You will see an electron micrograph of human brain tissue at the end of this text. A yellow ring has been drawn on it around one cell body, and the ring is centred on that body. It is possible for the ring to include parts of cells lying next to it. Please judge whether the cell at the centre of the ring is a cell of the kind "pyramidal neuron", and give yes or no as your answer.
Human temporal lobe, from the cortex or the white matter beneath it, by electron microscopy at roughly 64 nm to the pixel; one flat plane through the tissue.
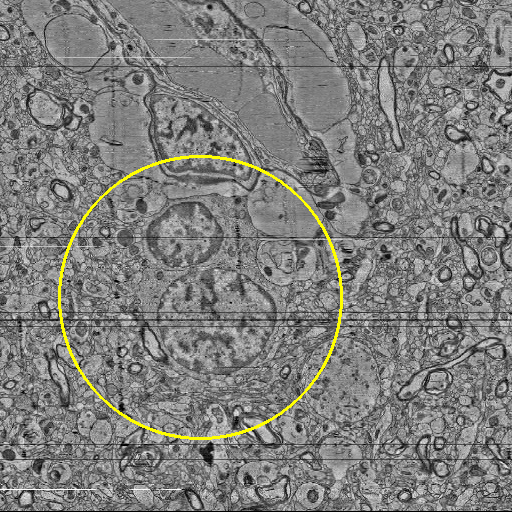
no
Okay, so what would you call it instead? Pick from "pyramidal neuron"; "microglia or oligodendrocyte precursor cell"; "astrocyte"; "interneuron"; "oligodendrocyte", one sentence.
What the ring encloses here is an oligodendrocyte.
